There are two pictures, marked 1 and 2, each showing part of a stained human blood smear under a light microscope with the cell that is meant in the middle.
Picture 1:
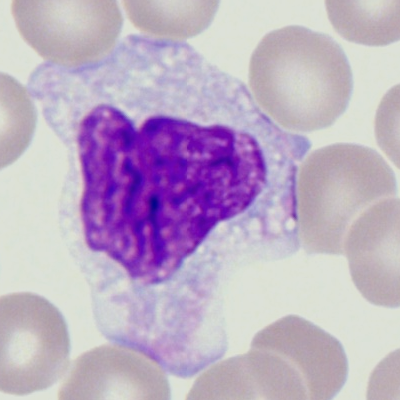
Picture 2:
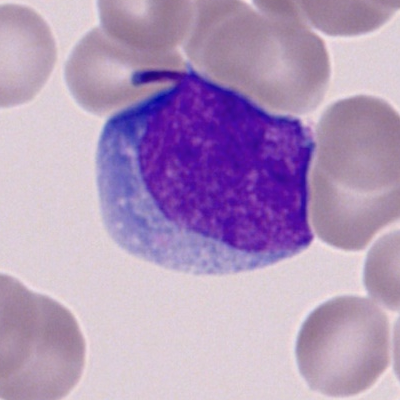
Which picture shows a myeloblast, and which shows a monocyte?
1: monocyte
2: myeloblast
